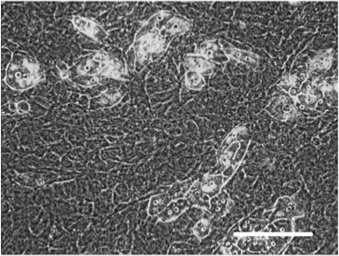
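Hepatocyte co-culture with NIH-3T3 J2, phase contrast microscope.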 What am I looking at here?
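Several islands of large polygonal cells with sharp, bright refractile borders lie embedded in a continuous carpet of small, elongated spindle-shaped cells. Within the polygonal cells, round nuclei stand out clearly, and the cells abut one another in cobblestone-like clusters.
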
